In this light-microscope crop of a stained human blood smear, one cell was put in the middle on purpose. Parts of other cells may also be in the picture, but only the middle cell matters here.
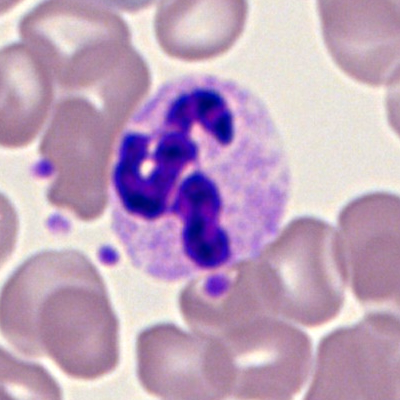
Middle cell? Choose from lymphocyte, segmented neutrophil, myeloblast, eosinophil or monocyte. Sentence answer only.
In this crop, the cell at the very middle is a segmented neutrophil.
